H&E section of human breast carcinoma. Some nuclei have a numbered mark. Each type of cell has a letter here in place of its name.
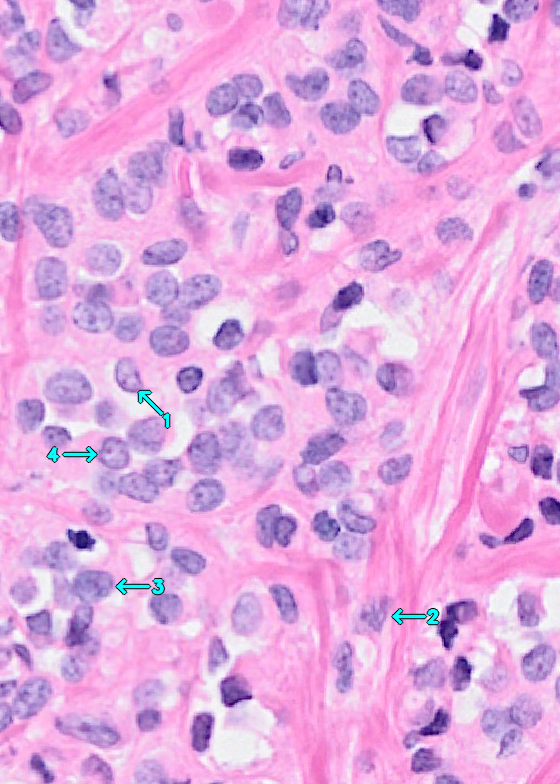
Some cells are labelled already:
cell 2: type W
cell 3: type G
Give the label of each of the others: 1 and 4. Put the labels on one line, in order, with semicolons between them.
type G; type G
